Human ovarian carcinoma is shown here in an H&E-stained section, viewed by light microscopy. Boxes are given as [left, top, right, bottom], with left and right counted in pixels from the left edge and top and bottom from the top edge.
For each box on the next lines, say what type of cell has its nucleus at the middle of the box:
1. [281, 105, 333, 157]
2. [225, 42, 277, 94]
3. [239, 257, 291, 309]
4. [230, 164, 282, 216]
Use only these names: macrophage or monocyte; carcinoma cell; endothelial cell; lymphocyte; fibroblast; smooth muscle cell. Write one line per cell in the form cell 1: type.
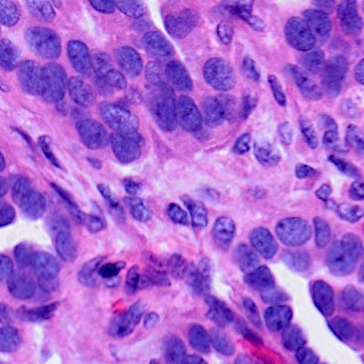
cell 1: fibroblast
cell 2: fibroblast
cell 3: carcinoma cell
cell 4: fibroblast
